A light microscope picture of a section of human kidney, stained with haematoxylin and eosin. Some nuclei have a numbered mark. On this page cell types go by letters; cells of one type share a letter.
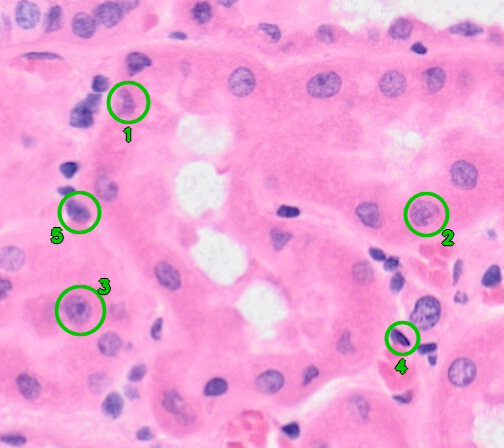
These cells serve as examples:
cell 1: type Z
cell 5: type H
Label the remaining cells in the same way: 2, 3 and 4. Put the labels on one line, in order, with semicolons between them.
type Z; type Z; type H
